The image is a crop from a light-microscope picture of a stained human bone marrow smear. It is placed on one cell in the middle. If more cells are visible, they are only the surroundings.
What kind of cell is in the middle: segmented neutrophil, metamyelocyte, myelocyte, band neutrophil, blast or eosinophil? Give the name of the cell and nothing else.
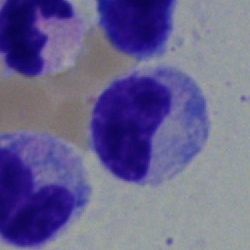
metamyelocyte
